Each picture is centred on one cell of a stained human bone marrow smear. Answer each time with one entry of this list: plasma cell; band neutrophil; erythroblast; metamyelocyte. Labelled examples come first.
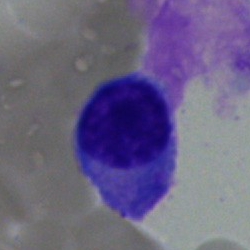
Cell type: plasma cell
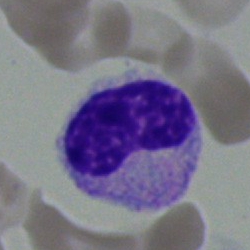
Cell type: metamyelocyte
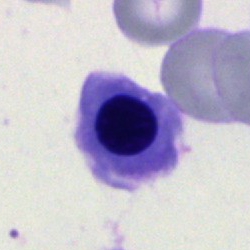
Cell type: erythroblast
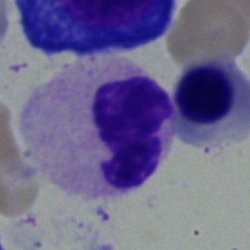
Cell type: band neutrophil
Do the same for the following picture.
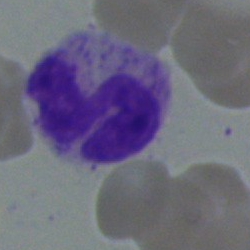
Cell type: band neutrophil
